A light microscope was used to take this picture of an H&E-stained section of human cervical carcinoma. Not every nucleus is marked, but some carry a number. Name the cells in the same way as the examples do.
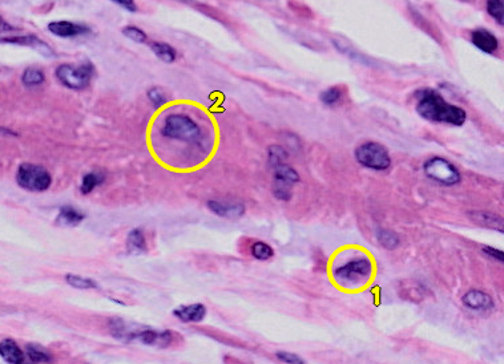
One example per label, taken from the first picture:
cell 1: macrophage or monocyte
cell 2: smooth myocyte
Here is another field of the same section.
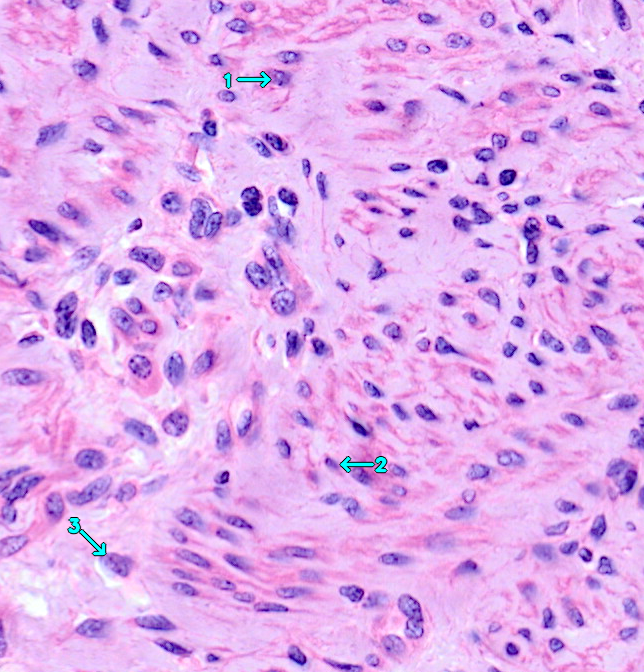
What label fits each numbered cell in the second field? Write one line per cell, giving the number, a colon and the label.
1: smooth myocyte
2: smooth myocyte
3: macrophage or monocyte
